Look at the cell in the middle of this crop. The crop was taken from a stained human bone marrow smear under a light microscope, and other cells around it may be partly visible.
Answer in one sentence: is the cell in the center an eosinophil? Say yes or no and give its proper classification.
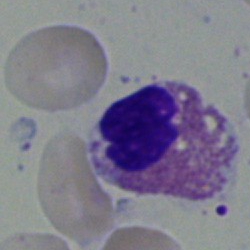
Yes, the cell in the middle is an eosinophil.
